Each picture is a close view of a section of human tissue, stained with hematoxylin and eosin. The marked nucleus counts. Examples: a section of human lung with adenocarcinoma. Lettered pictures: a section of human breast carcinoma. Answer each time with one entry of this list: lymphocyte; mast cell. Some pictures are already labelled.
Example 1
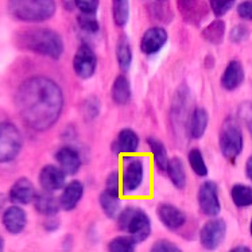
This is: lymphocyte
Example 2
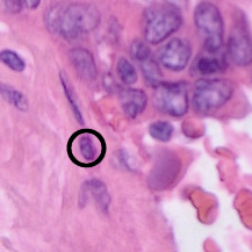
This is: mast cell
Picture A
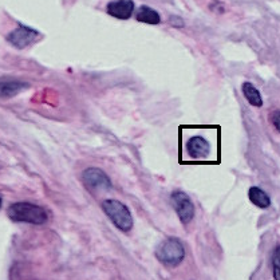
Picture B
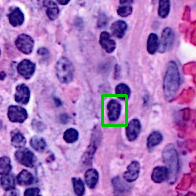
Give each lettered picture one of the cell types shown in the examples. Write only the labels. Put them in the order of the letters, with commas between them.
lymphocyte, lymphocyte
